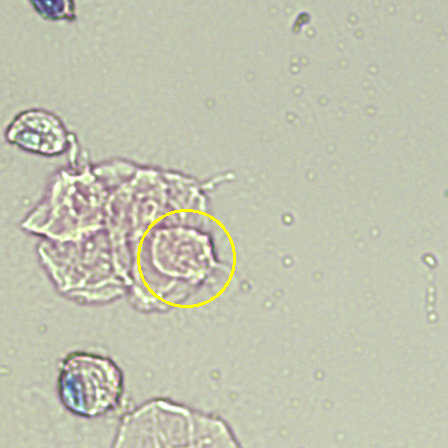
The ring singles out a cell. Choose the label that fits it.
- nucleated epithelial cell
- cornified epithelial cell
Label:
cornified epithelial cell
